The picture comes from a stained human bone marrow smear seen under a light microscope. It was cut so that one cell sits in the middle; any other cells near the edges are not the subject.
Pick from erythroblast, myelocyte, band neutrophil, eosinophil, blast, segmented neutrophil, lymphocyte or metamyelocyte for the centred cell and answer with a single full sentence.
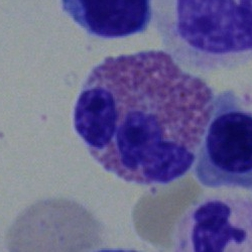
What the crop centres on is an eosinophil.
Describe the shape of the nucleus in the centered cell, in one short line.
The nuclear outline breaks up into two or more lobes.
